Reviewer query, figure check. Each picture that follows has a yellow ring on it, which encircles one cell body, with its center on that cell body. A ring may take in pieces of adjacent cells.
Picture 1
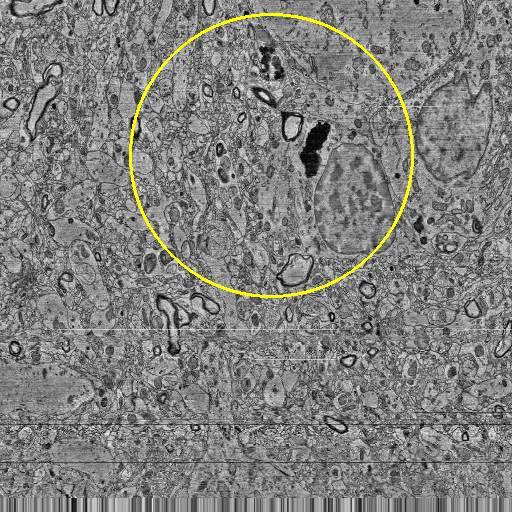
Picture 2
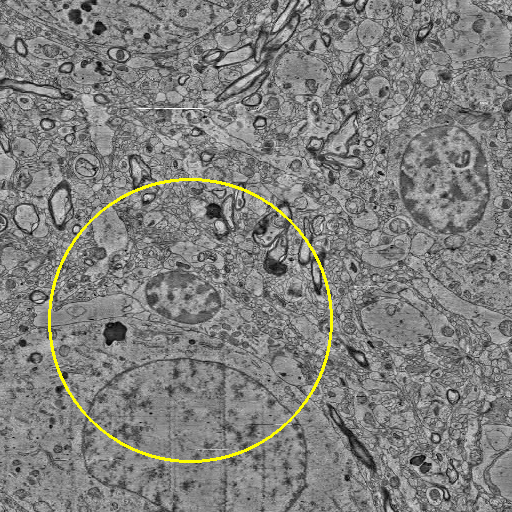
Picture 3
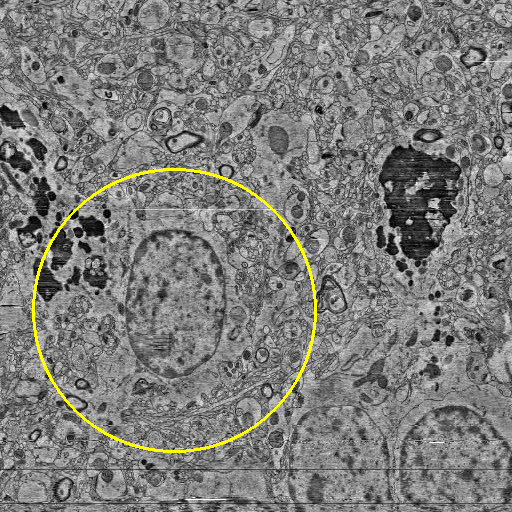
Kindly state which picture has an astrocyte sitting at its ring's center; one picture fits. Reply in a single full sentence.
In picture 3, the cell at the center of the ring is the requested one.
